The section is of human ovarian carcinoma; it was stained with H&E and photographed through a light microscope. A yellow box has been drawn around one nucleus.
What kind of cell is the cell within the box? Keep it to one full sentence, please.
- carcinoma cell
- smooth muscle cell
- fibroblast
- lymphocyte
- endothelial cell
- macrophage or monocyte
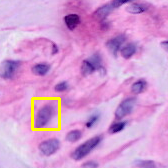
Just put down that the cell within the box is a smooth muscle cell.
